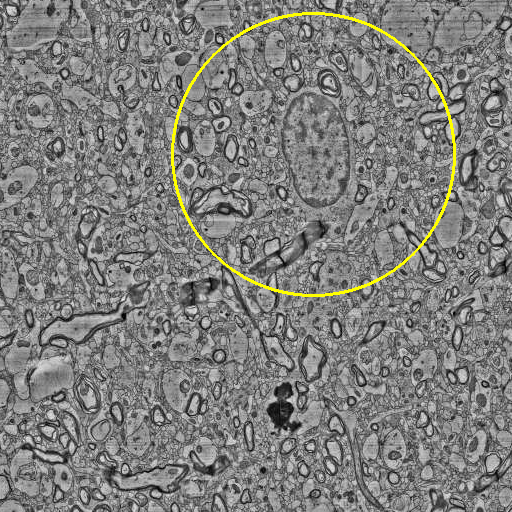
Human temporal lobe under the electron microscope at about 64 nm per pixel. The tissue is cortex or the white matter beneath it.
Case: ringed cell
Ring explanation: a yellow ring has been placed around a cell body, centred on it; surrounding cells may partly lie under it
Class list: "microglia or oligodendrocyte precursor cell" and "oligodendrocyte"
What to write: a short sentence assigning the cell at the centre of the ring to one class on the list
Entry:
The cell at the ring's centre is an oligodendrocyte.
